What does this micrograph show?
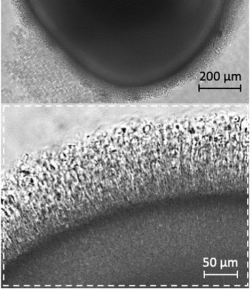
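This is the curved edge of a whole retinal organoid seen unstained in bright field. A broad, pale, bristly fringe of fine hair-like projections covers the outer surface. These projections point outward from the organoid edge. Beneath the fringe, the tissue of the organoid forms a darker, smoother band without individual projections.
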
